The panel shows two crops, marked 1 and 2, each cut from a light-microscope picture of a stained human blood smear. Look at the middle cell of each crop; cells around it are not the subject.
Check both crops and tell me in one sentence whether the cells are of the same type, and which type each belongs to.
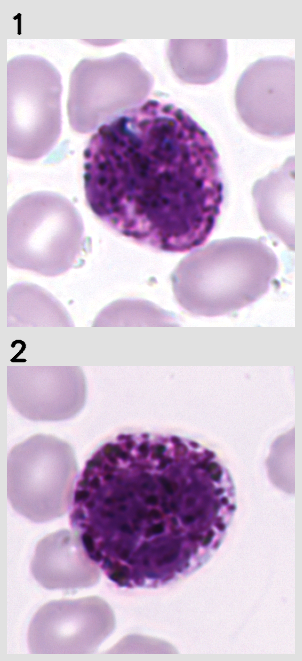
Yes, the cells at the centre of the two crops are both basophils.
